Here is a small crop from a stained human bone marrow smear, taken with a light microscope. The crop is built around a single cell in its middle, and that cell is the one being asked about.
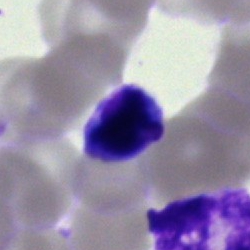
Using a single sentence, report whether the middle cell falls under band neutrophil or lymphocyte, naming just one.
The cell centred in this crop is categorized as a lymphocyte.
